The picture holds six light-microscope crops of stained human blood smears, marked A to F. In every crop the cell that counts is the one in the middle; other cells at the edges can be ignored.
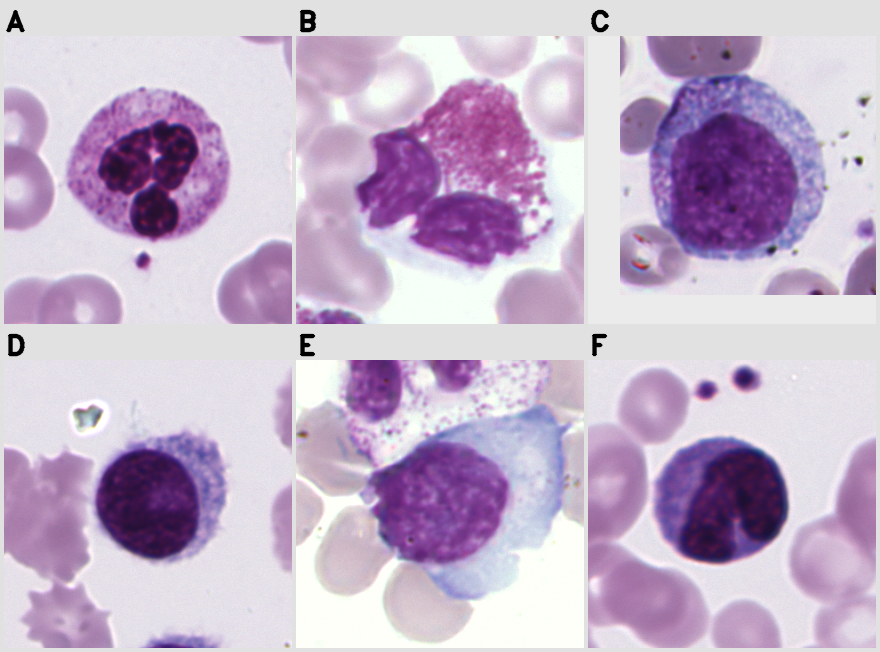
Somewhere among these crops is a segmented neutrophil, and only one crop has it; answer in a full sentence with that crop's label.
The correct choice is crop A, the one showing a segmented neutrophil.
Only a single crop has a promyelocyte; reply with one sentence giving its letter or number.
Crop C is the crop in which a promyelocyte is shown.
